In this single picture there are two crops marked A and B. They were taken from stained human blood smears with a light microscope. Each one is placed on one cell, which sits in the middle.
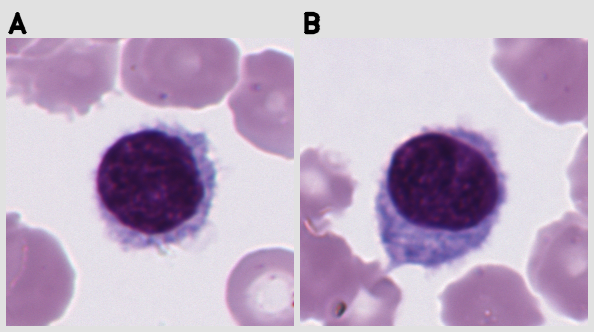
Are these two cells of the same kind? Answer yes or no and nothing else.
yes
